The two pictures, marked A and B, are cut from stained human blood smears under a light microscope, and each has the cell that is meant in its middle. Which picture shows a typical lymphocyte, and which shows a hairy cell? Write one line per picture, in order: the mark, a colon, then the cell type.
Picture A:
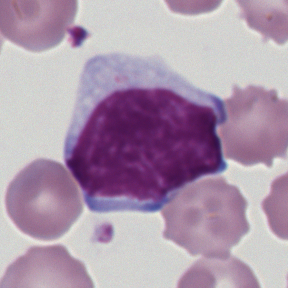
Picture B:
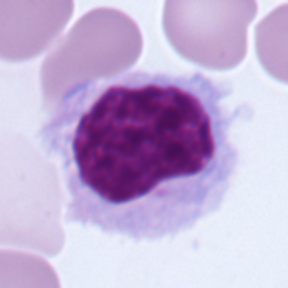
A: typical lymphocyte
B: hairy cell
